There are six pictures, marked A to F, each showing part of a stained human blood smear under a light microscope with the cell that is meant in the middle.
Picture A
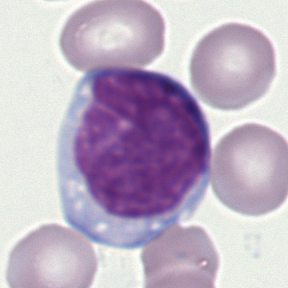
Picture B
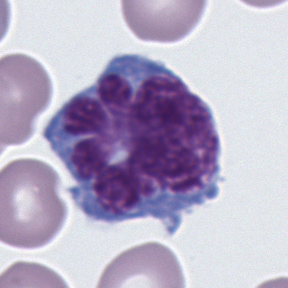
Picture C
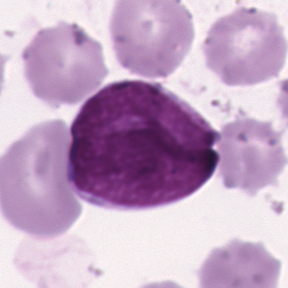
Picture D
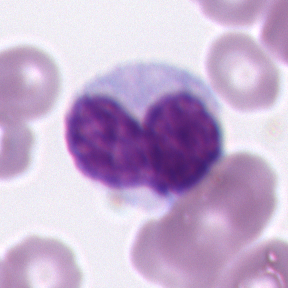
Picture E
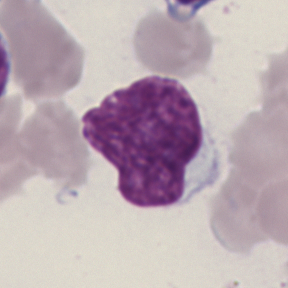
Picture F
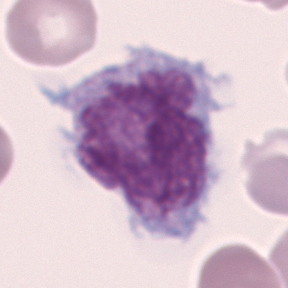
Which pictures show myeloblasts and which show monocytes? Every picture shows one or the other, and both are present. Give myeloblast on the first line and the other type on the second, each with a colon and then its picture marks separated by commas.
myeloblast: A, B, C, E
monocyte: D, F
